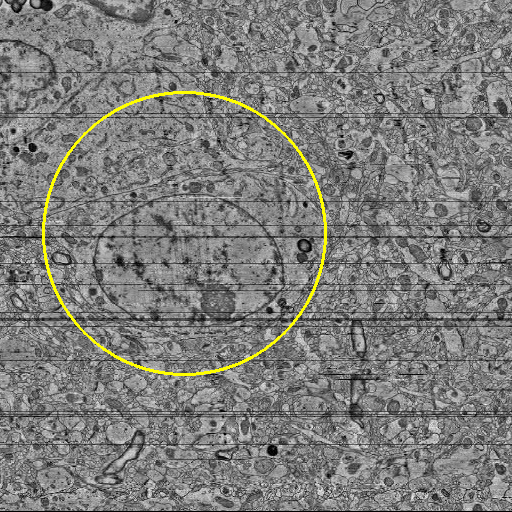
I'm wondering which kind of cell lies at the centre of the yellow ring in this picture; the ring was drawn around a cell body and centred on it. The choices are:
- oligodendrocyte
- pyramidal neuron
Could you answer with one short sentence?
At the centre of the ring lies a pyramidal neuron.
